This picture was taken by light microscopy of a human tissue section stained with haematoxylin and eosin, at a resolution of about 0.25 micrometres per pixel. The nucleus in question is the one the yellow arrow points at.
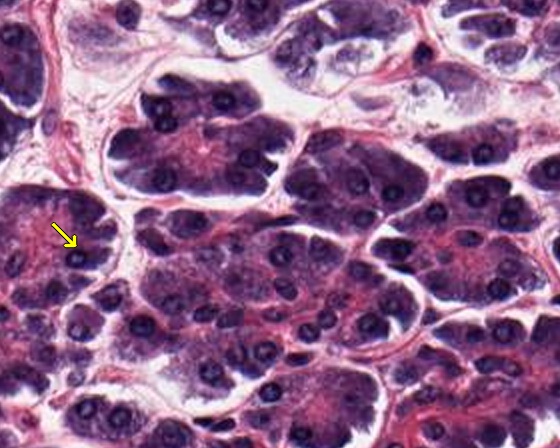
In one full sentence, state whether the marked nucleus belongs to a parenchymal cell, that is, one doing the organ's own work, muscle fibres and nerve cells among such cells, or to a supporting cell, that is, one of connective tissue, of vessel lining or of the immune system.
It is a parenchymal cell, namely a pancreatic acinar cell, to which the marked nucleus belongs.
